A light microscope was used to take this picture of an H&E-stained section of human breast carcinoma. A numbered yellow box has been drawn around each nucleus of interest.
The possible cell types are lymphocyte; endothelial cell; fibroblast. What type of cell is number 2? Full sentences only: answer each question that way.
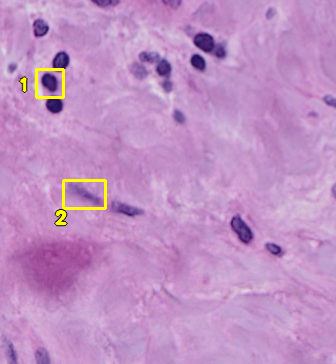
The label 2 in this section denotes a fibroblast.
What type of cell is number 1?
The cell assigned the number 1 is a lymphocyte.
